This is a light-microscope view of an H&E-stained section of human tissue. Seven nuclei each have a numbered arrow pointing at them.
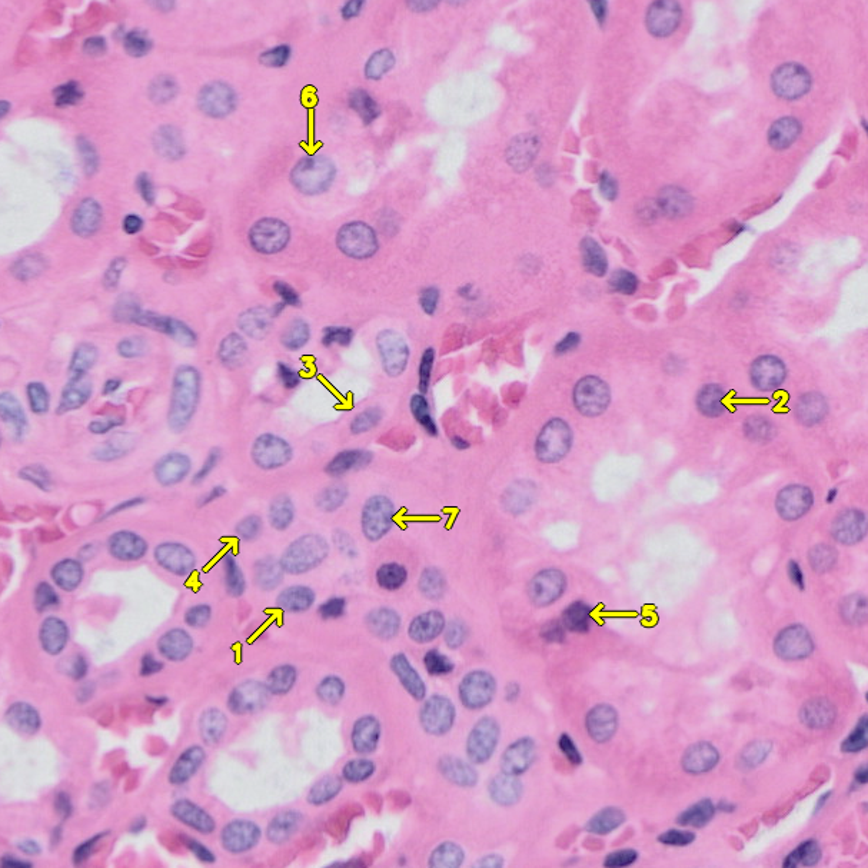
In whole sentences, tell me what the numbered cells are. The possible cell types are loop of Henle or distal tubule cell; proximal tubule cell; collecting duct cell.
Cells 1, 3, 4 and 7 are collecting duct cells. Cells 2, 5 and 6 are proximal tubule cells.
